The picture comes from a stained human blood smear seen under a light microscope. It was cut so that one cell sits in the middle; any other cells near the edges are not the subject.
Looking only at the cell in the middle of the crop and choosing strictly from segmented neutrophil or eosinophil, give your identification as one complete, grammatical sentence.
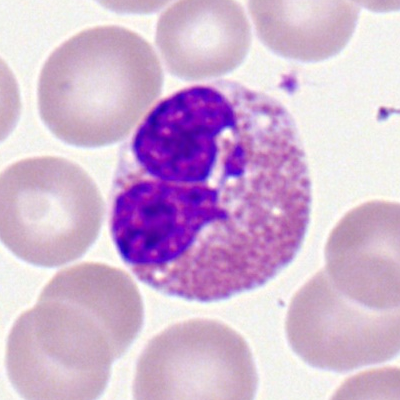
In the center of this field lies an eosinophil.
